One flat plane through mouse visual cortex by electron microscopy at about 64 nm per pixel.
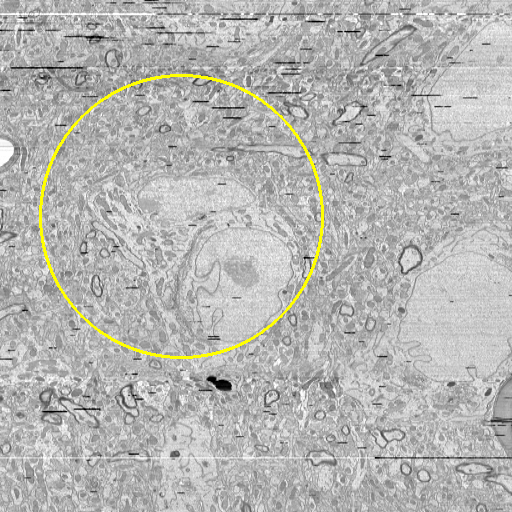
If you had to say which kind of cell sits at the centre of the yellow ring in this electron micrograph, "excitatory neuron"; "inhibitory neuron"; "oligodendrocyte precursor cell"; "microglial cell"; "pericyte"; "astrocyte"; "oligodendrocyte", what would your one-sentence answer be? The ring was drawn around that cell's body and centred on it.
The cell sitting at the centre of the ring is an oligodendrocyte precursor cell.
